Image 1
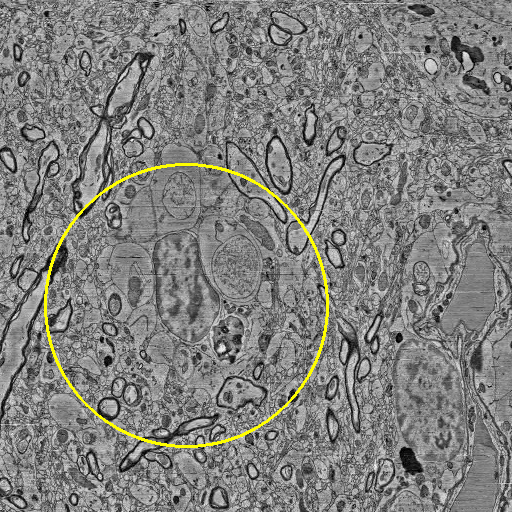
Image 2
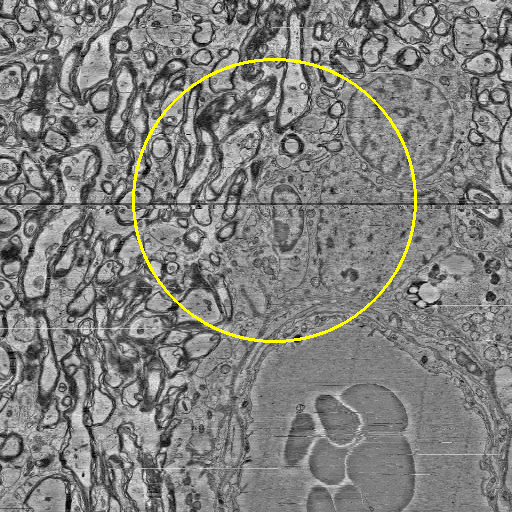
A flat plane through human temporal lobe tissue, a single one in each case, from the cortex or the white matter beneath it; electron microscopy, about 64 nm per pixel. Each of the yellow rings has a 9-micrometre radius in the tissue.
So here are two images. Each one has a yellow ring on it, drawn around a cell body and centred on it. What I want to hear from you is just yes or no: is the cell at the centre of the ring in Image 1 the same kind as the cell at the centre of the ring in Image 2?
yes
